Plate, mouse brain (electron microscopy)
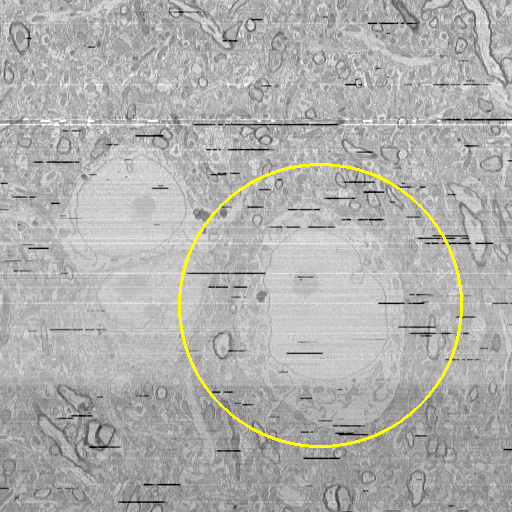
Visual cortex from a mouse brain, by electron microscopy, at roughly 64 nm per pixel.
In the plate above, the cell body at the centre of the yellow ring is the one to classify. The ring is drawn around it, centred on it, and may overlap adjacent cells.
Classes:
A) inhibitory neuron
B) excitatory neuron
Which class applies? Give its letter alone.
B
